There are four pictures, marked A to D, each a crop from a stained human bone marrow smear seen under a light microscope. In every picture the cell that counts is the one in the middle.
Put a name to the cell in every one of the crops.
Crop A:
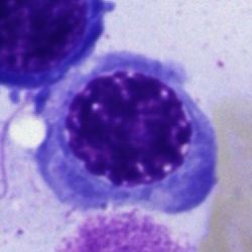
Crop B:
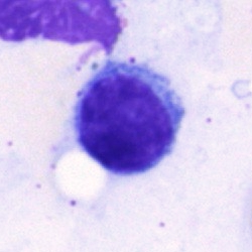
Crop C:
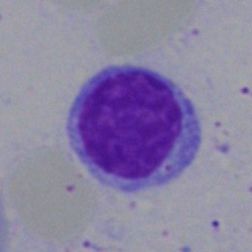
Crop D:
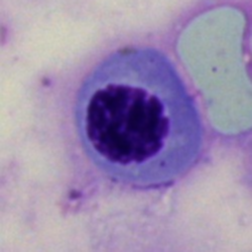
A: erythroblast
B: lymphocyte
C: lymphocyte
D: erythroblast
